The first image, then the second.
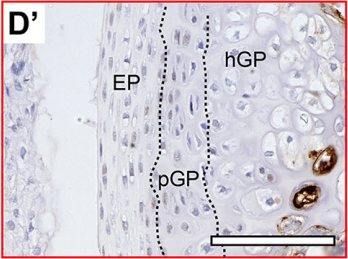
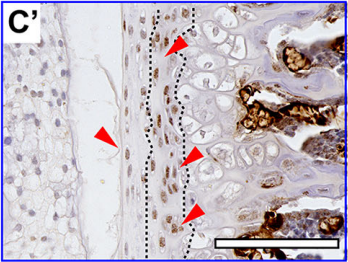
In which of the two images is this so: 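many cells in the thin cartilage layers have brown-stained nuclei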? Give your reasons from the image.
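The second image. First image: nuclei in the thin cartilage layers are blue, without brown. Second image: many nuclei in the layers between the dotted lines are brown.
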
